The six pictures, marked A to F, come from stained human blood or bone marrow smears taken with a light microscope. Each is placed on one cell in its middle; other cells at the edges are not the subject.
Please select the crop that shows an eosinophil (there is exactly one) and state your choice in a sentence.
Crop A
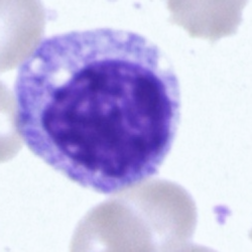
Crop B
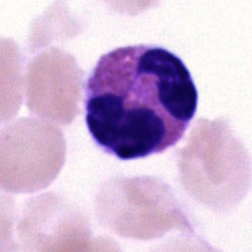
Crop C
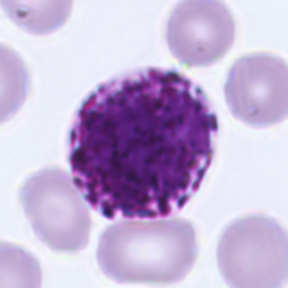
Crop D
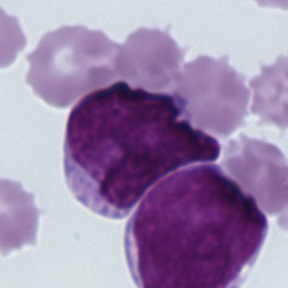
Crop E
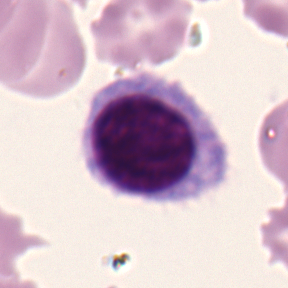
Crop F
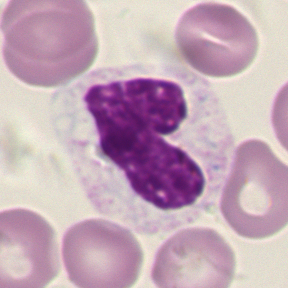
Crop B is the crop that shows an eosinophil in its middle.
